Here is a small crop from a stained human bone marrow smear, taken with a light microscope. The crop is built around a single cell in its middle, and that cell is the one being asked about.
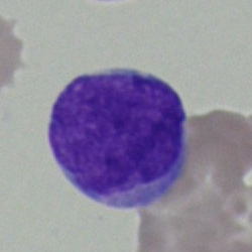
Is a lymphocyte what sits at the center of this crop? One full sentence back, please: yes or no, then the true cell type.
No, the centred cell is a blast, and it is not a lymphocyte.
